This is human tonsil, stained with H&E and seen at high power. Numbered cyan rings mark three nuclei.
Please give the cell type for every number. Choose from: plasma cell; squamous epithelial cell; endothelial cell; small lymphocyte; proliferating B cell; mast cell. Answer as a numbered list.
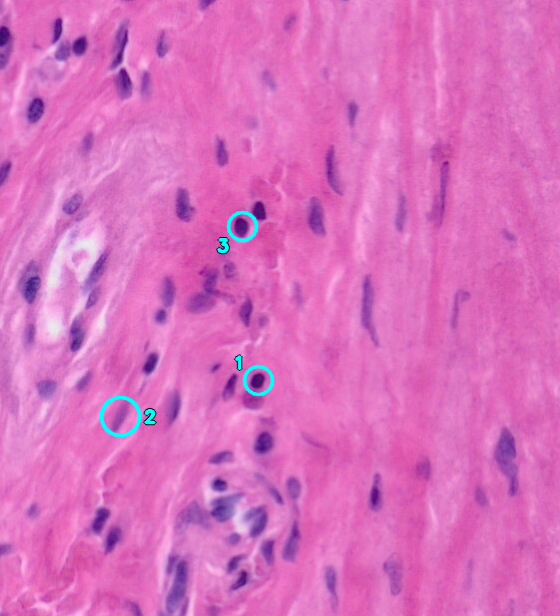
1. mast cell
2. endothelial cell
3. mast cell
